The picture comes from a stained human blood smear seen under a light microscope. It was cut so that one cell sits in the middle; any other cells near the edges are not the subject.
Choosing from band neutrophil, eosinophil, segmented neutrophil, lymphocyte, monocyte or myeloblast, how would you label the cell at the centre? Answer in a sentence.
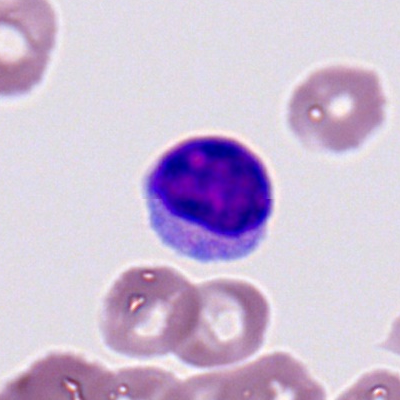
At the center of the crop sits a lymphocyte.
